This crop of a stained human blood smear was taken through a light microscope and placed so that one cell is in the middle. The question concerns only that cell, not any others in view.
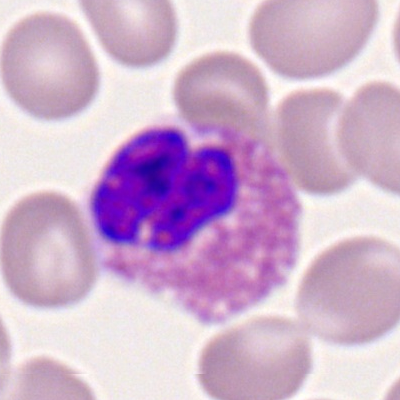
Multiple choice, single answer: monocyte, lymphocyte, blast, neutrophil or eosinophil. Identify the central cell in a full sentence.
Within this crop, an eosinophil occupies the central position.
